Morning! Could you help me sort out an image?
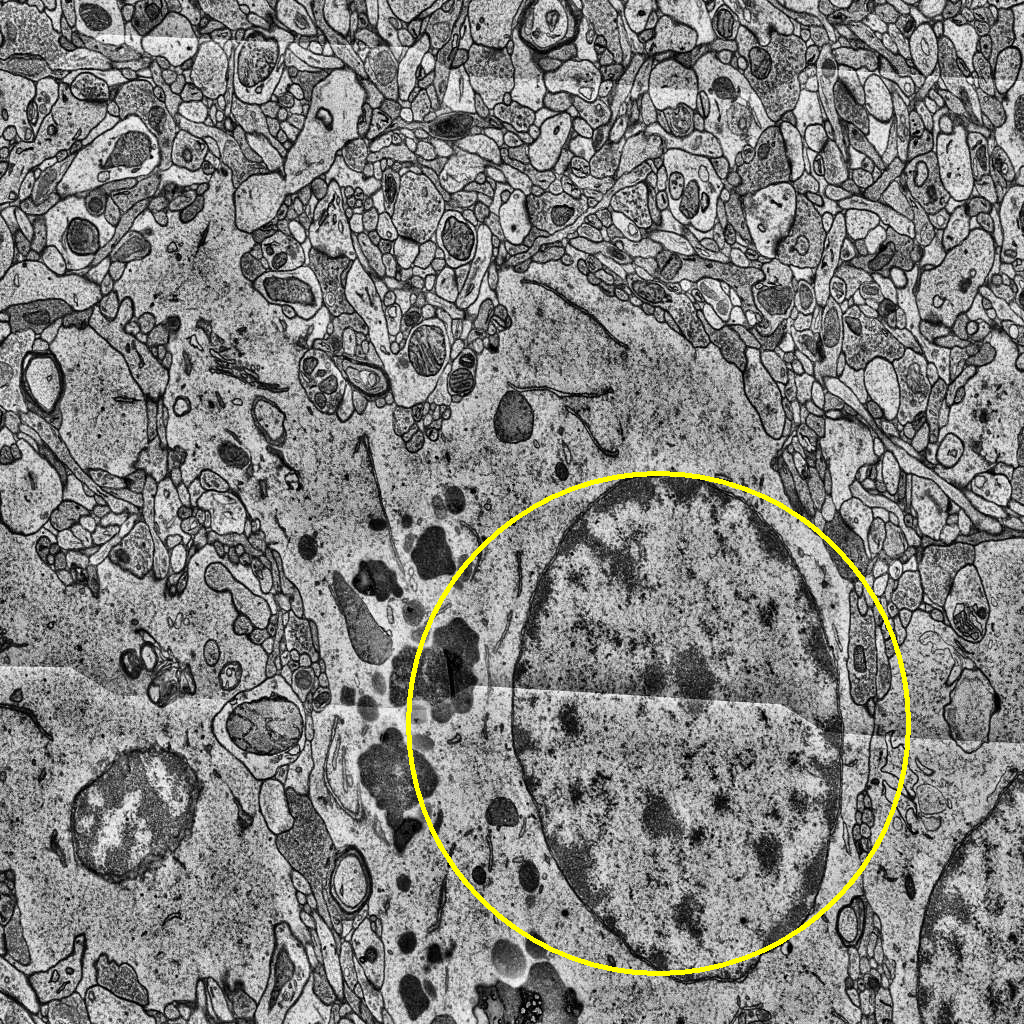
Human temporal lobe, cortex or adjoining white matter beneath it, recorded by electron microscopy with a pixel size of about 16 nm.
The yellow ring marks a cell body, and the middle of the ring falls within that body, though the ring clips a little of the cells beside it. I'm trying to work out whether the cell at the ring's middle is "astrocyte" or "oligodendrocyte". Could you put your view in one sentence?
The cell body at the ring's middle is that of an astrocyte.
